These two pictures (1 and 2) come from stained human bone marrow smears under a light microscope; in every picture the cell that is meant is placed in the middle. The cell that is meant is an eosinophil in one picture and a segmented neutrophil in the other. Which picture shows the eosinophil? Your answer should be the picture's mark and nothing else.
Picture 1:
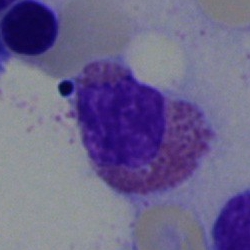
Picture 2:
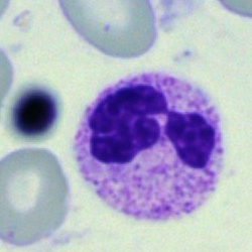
1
